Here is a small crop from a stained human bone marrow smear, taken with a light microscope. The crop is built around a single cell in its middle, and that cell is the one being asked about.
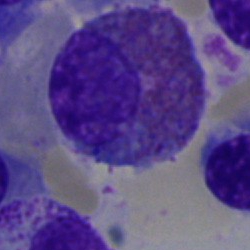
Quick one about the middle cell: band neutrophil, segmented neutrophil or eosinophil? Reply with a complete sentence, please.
Centred in the crop is an eosinophil.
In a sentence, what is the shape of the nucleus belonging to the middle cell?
The cell carries one compact nucleus shaped round, oval or like a kidney.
